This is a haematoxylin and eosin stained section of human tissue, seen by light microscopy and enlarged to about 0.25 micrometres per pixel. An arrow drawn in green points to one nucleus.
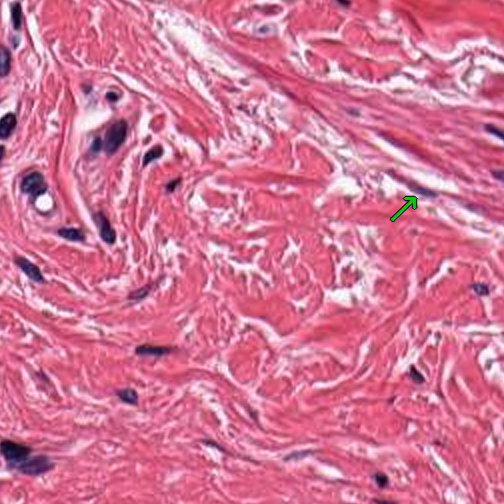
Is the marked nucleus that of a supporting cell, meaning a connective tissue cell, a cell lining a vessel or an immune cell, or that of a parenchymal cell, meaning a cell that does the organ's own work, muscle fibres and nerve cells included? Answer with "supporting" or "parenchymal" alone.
supporting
